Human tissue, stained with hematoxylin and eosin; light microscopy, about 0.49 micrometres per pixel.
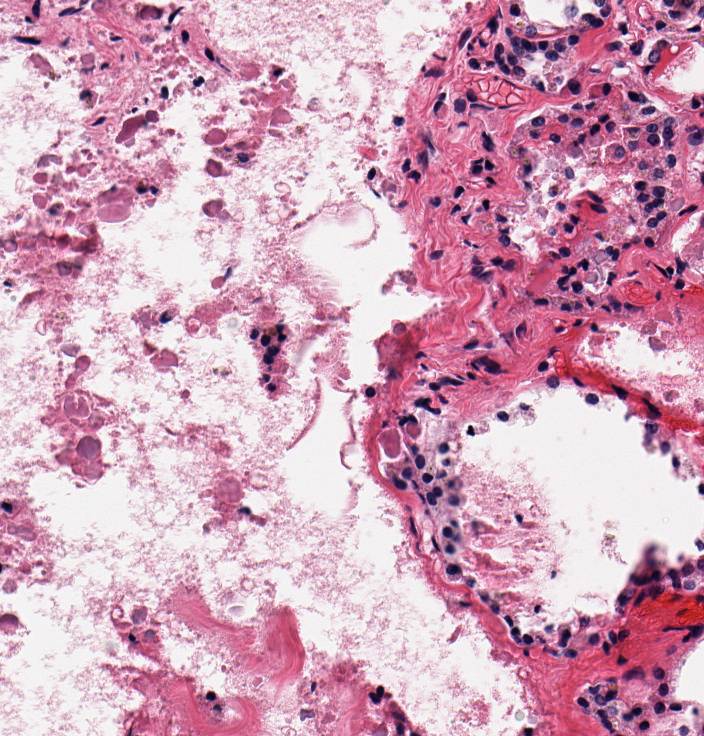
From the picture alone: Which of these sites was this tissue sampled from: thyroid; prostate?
thyroid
